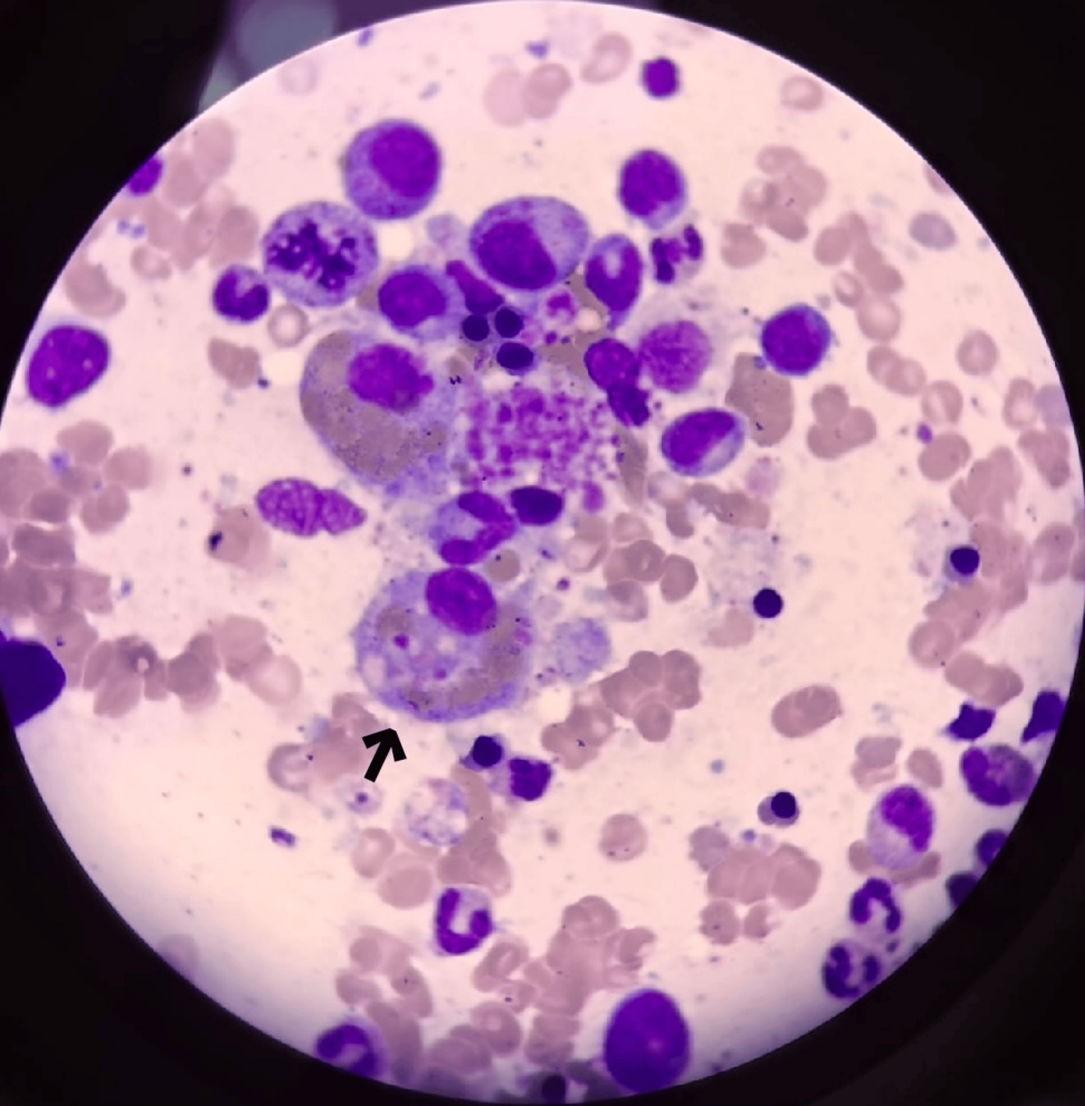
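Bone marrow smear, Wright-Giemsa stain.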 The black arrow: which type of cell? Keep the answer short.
Macrophage.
